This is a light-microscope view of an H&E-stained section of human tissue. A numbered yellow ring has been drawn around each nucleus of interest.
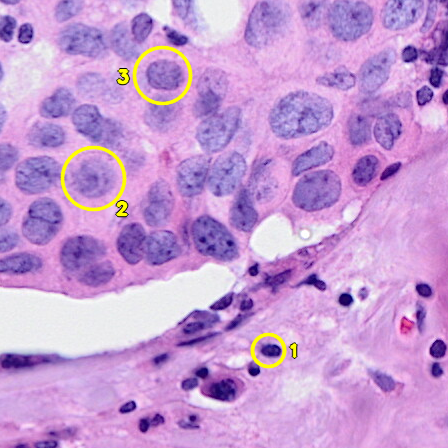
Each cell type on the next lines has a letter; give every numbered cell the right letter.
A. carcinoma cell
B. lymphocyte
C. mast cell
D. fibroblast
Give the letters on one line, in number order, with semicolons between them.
B; A; A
